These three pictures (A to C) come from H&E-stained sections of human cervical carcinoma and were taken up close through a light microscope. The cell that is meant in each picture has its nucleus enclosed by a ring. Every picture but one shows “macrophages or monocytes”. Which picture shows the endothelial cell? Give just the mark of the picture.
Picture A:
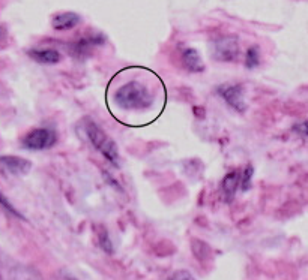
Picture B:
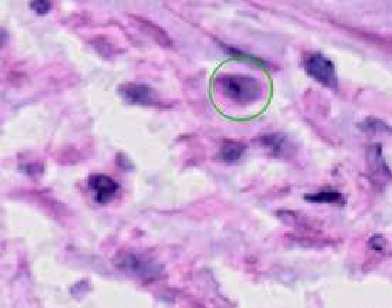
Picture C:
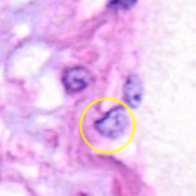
C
